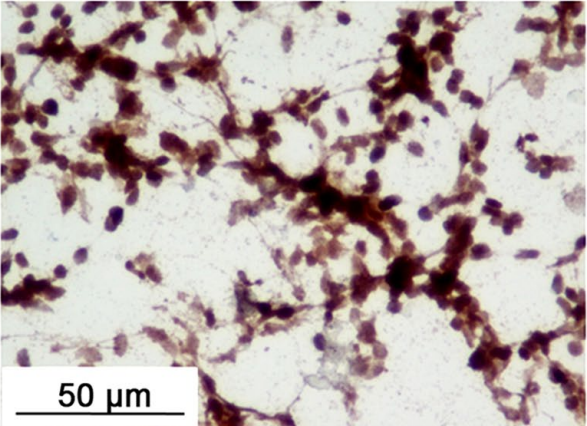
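Individual cells at the edges of the groups have small round to oval nuclei and scant cytoplasm, while in the centres of the clusters cells overlap into dense dark masses where borders cannot be told apart. Thin fibrous strands run between the clusters, linking them into a branching network. A few isolated cells lie apart from the groups, also stained, some more faintly purple than brown. No clear tissue architecture is kept; the cells are spread as in a smear.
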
